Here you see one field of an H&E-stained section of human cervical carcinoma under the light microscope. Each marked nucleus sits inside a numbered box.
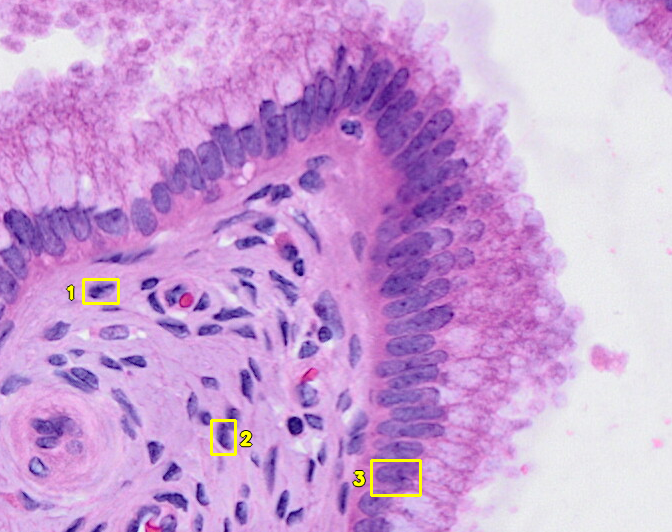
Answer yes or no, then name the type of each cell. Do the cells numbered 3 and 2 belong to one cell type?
No, cell 2 is a fibroblast, and cell 3 is a secretory epithelial cell.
